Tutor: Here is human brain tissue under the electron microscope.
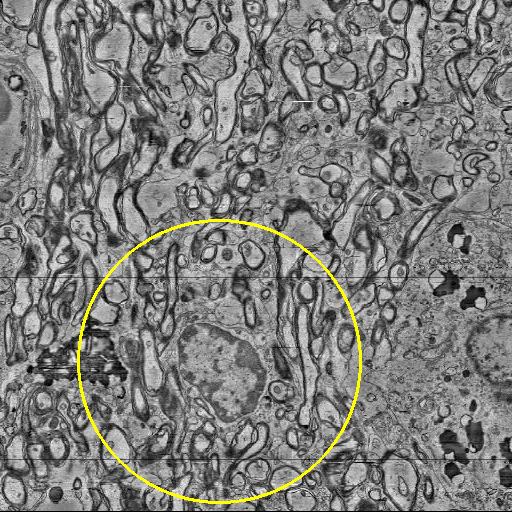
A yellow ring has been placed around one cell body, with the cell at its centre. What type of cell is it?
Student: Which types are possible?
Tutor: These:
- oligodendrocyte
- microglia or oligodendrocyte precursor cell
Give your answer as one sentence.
What the ring picks out here is a microglial cell or oligodendrocyte precursor cell.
